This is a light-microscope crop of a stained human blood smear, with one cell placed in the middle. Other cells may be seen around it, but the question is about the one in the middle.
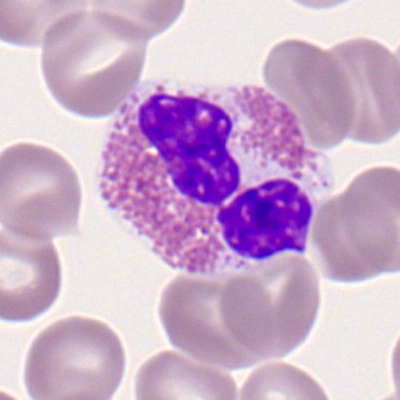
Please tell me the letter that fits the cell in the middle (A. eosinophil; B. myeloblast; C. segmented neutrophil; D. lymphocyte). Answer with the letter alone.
A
